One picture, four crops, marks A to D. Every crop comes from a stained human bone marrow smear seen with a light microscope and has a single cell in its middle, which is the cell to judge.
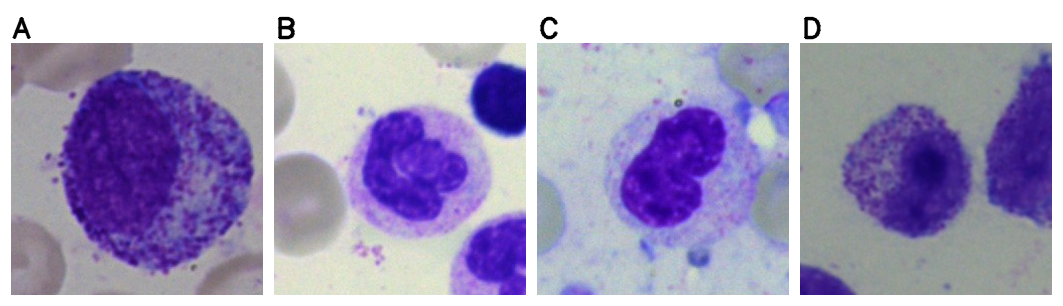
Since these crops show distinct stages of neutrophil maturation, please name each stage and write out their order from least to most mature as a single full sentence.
What results from ordering by maturity, least to most, is crop A (a promyelocyte), crop D (a myelocyte), crop C (a band neutrophil) and crop B (a segmented neutrophil).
